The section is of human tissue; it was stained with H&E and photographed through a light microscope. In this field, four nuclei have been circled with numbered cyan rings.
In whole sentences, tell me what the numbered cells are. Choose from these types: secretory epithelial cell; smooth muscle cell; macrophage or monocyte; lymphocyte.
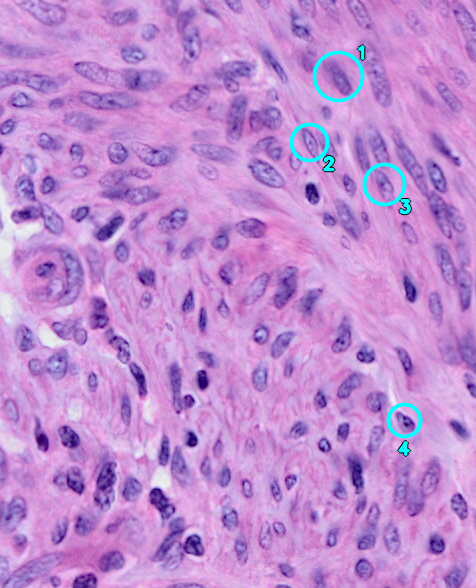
Cell 1 is a smooth muscle cell, cell 2 is a smooth muscle cell, cell 3 is a smooth muscle cell and cell 4 is a lymphocyte.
